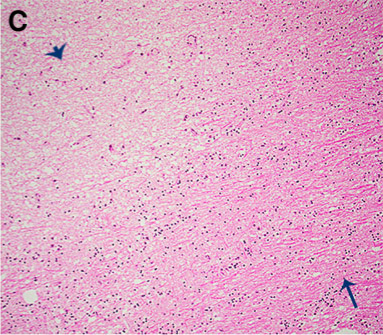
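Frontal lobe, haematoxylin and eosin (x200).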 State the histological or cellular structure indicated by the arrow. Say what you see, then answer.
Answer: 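The lower right area has pinker, parallel fibre bundles. Rows of nuclei lie between the fibres there.
Conclusion: preservation of adjacent myelinated axons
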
